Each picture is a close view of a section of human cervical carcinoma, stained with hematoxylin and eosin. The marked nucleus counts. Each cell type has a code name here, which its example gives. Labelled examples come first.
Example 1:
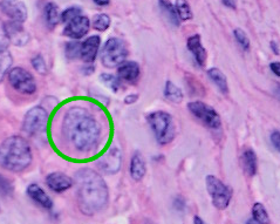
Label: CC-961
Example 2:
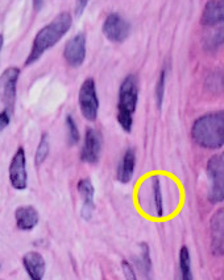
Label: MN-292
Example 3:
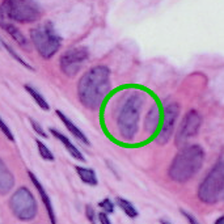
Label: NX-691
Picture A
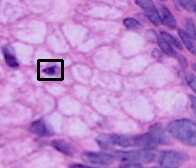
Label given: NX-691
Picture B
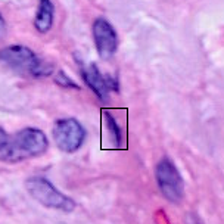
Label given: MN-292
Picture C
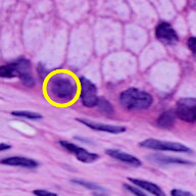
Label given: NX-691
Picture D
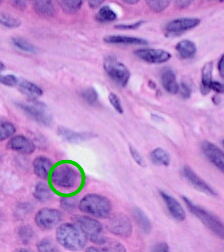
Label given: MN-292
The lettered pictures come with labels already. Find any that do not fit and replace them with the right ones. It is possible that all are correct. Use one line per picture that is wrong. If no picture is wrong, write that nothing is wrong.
Wrong: B (MN-292); correct: CC-961
Wrong: D (MN-292); correct: NX-691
